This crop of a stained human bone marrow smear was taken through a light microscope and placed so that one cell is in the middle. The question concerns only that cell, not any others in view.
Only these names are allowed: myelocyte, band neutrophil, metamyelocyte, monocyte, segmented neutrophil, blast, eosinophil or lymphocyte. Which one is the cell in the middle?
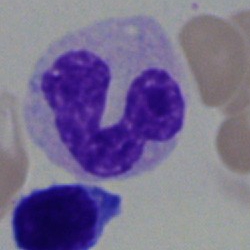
band neutrophil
